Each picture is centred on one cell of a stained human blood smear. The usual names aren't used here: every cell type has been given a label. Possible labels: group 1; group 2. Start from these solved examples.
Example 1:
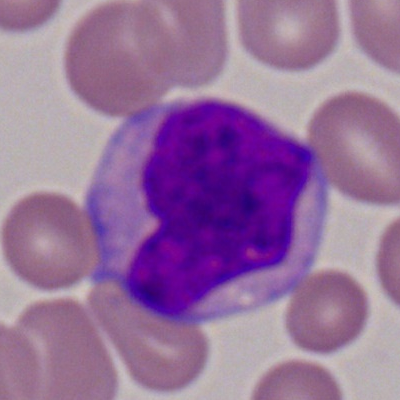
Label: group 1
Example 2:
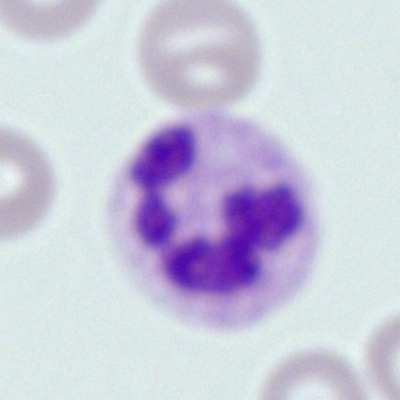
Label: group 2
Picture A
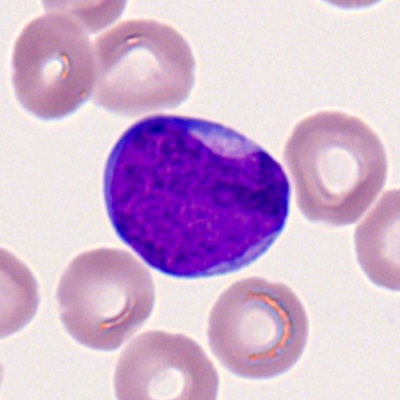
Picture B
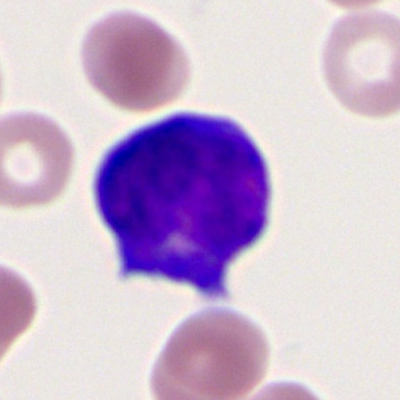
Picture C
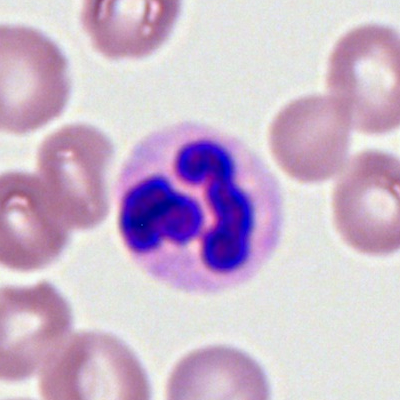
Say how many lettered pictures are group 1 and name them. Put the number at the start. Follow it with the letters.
2: A, B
